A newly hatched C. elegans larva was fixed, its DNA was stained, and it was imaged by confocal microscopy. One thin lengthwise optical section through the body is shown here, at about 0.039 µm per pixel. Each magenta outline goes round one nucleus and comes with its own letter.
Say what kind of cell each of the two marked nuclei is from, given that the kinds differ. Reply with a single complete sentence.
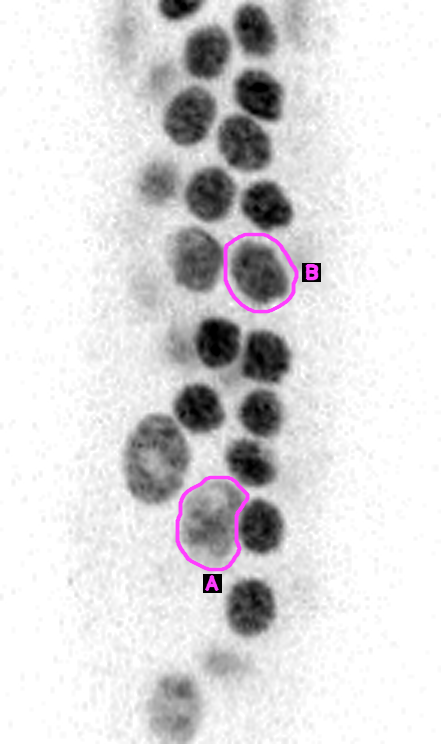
A is from a seam cell, and B is from a neuron.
